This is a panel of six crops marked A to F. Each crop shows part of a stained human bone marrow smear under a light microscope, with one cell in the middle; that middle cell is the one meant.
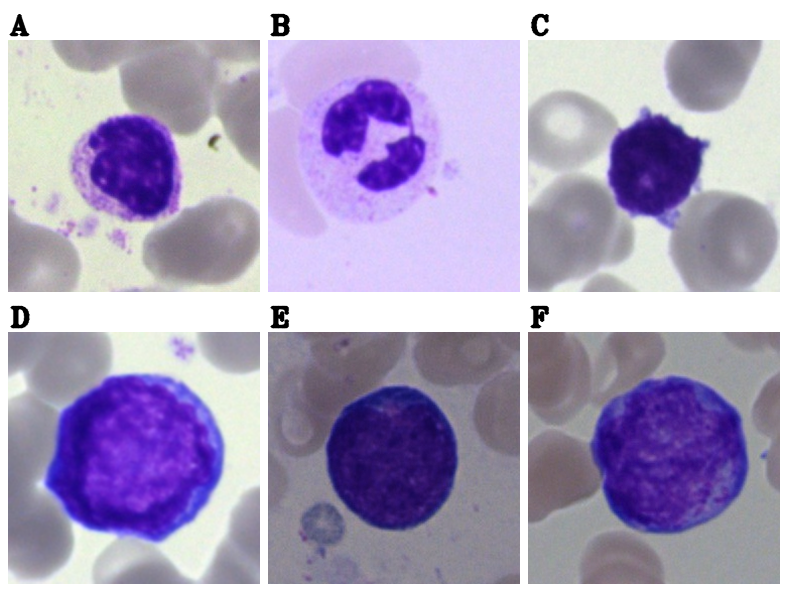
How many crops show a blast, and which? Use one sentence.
In four crops, namely C, D, E and F, the cells shown are blasts.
